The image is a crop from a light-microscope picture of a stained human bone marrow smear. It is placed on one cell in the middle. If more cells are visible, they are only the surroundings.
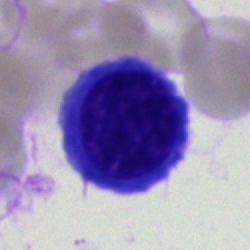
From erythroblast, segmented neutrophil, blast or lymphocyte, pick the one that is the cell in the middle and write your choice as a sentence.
In this crop, the cell at the very middle is an erythroblast.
